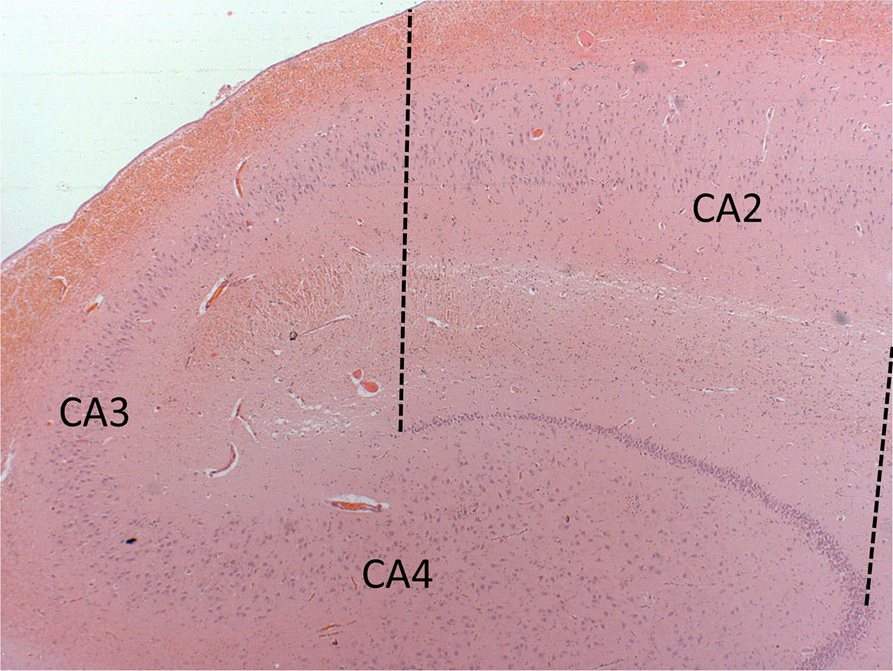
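This low-power section of the hippocampus, stained pink with purple nuclei, shows a broad band of pyramidal neurons arching across the upper part of the field above a curved, dark band of granule cells of the dentate gyrus. The pyramidal cell bodies are relatively large and loosely spaced, with purple nuclei set in pale pink neuropil. Below them, the granule cells form a narrow, compact ribbon of small, closely packed round nuclei that curves toward the lower right. The area enclosed by this curved ribbon holds scattered cells in pink neuropil, and small blood vessels with red blood cells are seen throughout.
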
